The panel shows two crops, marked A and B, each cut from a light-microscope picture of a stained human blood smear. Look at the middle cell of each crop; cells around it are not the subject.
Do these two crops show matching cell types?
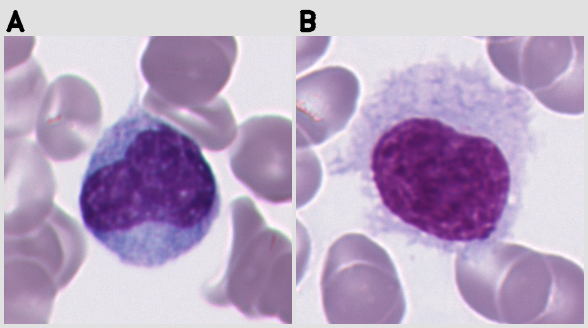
no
